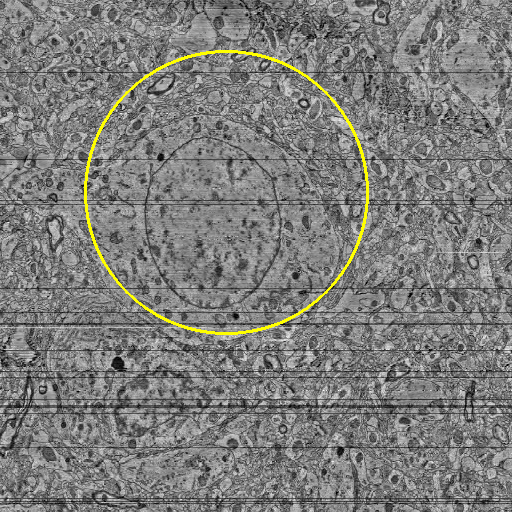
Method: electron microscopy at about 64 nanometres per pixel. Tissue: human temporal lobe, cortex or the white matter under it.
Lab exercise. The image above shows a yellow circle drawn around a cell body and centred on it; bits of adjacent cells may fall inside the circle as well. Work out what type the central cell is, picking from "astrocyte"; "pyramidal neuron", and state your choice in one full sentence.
In the image above, the cell at the centre of the yellow circle is a pyramidal neuron.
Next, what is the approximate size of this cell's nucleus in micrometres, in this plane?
The ringed cell's nucleus measures approximately 11 by 10 micrometres in this plane.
